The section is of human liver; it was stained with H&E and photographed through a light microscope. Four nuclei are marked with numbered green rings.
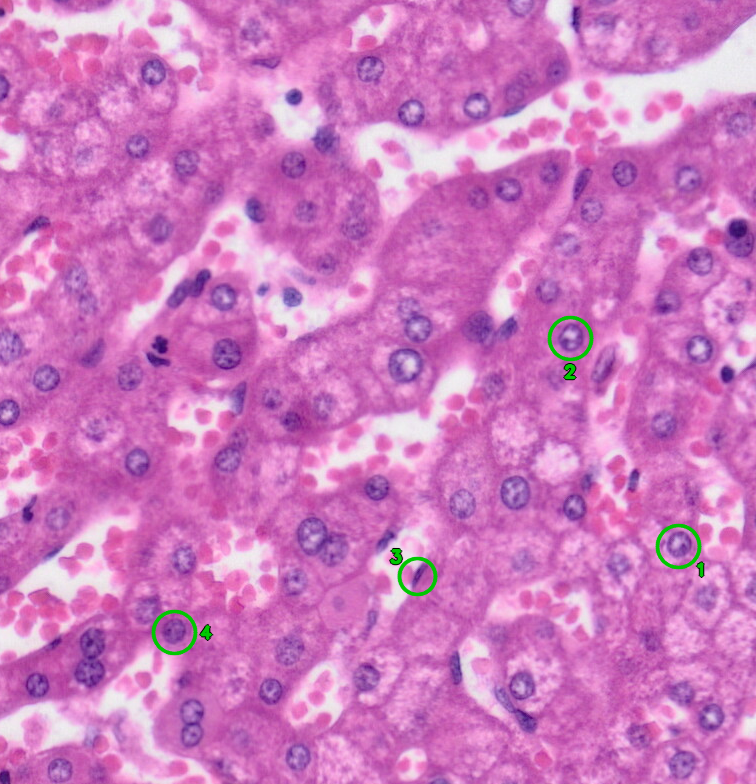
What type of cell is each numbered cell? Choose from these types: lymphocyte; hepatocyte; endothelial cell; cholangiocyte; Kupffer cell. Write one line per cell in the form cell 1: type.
cell 1: hepatocyte
cell 2: hepatocyte
cell 3: endothelial cell
cell 4: hepatocyte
